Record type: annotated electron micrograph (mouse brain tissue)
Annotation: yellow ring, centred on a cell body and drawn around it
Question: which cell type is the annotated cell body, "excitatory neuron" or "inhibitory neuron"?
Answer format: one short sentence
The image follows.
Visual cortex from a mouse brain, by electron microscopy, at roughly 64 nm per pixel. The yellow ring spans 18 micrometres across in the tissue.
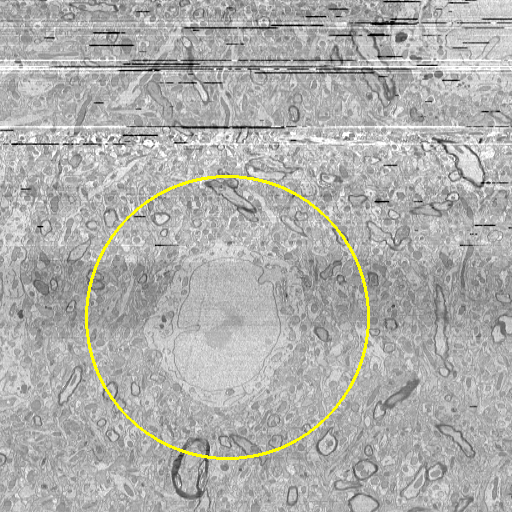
The annotated cell body is that of an excitatory neuron.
